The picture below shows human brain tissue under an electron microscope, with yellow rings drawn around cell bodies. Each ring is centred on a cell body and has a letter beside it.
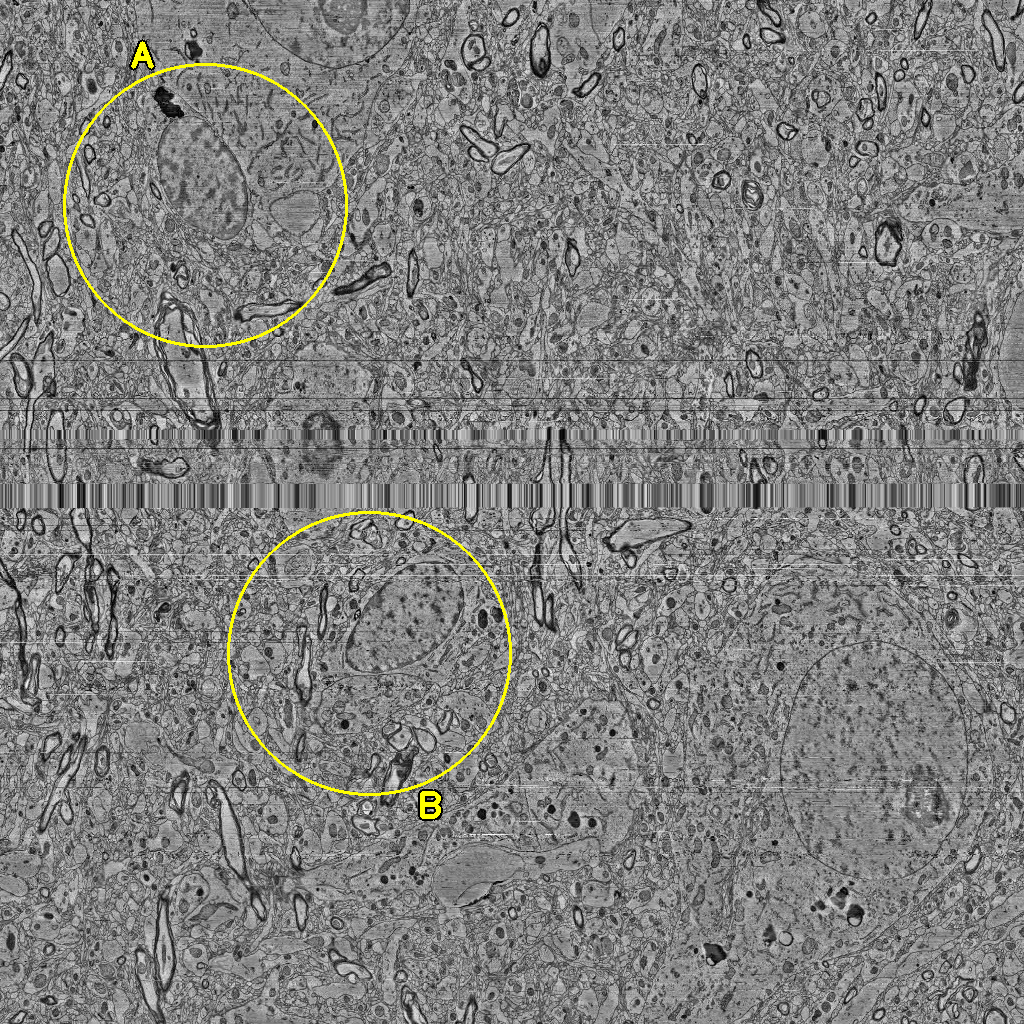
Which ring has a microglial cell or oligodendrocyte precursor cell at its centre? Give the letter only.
B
